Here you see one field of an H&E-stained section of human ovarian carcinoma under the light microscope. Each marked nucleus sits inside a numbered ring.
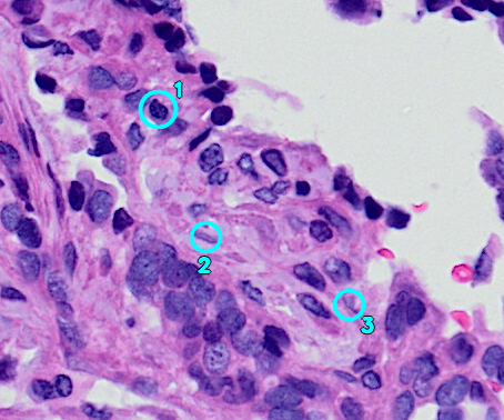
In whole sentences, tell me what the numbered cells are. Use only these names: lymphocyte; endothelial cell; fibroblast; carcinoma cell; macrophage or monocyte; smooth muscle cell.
Cell 1 is a lymphocyte. Cells 2 and 3 are fibroblasts.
